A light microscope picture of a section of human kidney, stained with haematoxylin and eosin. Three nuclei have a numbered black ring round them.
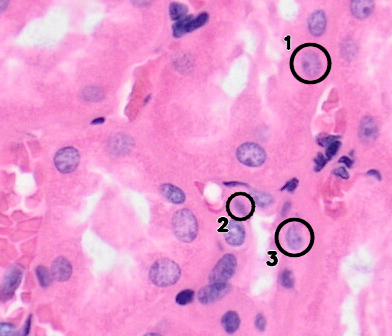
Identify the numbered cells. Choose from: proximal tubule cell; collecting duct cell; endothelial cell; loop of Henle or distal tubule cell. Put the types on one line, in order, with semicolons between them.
proximal tubule cell; collecting duct cell; collecting duct cell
